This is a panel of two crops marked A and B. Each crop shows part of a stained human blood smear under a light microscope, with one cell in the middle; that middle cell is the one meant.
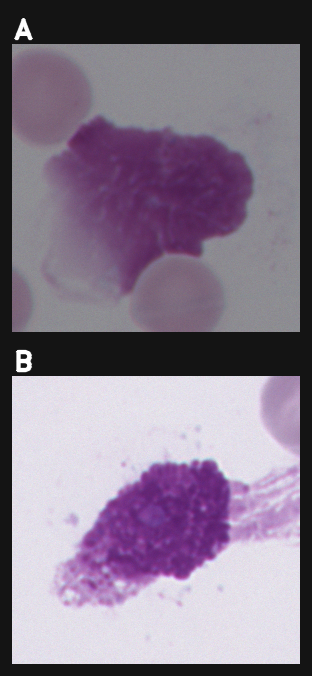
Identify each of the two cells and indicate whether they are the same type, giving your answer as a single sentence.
Yes, in both of the crops, the central cells are smudge cells.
